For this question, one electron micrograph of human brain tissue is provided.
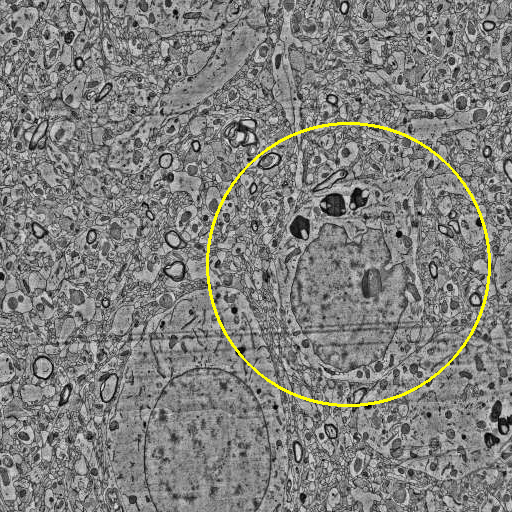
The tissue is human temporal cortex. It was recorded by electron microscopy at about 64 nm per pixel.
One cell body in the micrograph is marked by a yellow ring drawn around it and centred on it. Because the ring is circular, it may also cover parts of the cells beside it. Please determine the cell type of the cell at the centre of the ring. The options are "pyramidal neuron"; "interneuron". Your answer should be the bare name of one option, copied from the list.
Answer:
interneuron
